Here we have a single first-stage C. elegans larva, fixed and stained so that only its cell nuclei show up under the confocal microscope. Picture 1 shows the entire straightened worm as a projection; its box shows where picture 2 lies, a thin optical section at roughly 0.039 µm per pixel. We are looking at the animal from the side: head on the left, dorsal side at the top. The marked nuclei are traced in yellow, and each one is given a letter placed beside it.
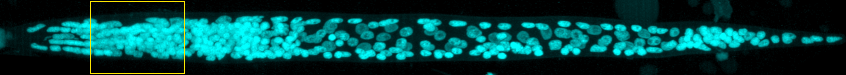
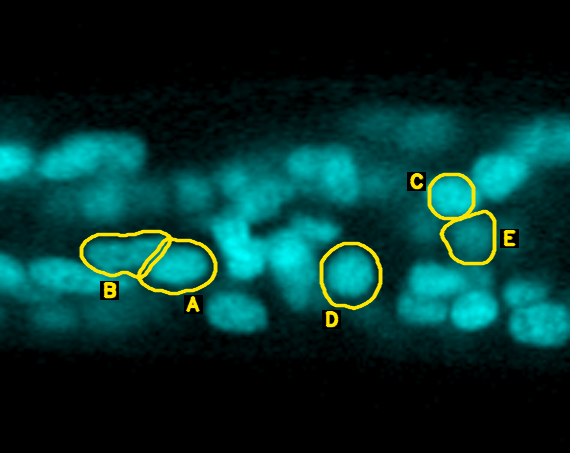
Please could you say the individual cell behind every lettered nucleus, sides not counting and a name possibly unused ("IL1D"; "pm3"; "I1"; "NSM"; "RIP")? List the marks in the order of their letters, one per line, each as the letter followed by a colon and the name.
A: I1
B: pm3
C: IL1D
D: NSM
E: RIP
